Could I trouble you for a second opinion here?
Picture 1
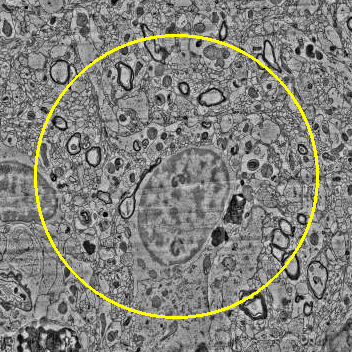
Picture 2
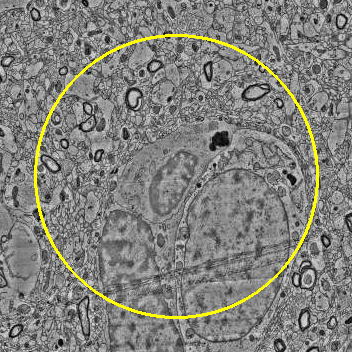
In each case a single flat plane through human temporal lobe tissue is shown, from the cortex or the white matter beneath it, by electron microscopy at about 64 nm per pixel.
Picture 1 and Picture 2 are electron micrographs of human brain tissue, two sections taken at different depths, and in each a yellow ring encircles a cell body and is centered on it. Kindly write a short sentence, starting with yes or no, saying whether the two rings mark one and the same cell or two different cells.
Yes, the cell marked in each ring is one and the same.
